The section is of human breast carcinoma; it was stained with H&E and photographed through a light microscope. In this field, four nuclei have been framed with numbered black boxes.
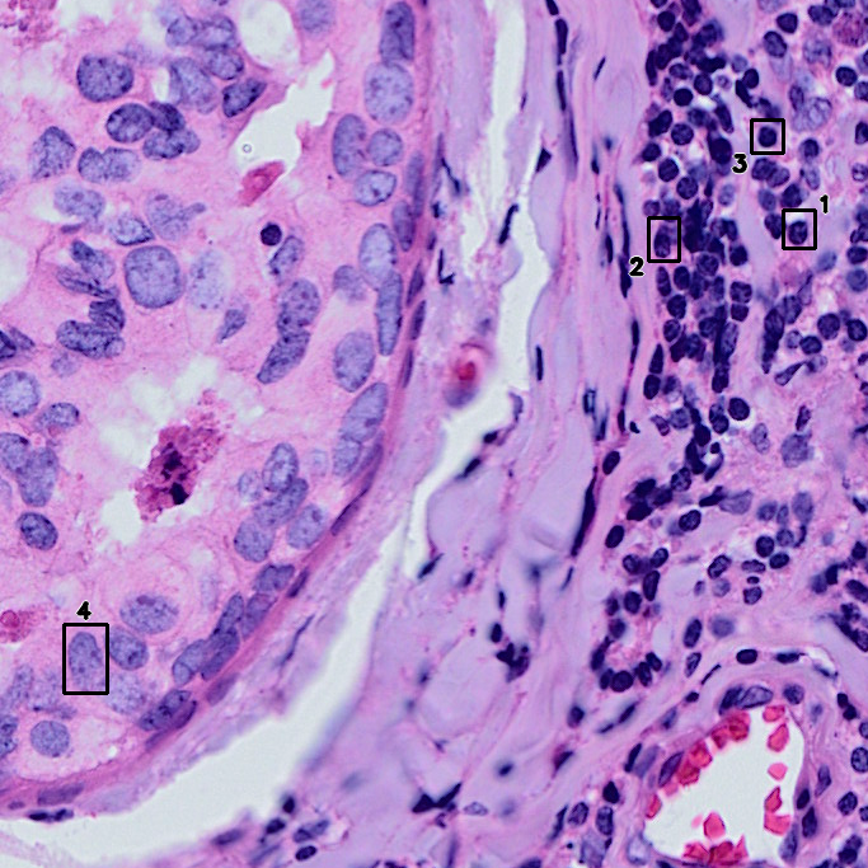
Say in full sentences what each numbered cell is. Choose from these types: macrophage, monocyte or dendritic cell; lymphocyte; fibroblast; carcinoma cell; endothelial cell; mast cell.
Cell 1 is a lymphocyte, cell 2 is a lymphocyte, cell 3 is a lymphocyte and cell 4 is a carcinoma cell.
